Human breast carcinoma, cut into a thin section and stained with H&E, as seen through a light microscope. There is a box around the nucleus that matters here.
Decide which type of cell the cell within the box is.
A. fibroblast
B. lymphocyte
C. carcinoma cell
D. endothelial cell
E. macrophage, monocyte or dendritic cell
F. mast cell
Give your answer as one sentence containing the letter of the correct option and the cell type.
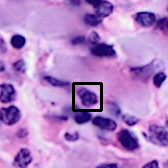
Option B correctly labels the cell within the box as a lymphocyte.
